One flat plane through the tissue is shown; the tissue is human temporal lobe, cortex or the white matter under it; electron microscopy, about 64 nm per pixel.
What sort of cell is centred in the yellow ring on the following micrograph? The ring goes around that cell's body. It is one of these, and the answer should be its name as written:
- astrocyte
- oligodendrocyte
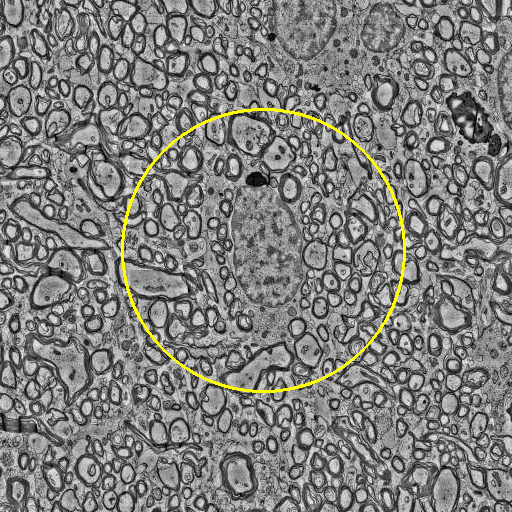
oligodendrocyte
